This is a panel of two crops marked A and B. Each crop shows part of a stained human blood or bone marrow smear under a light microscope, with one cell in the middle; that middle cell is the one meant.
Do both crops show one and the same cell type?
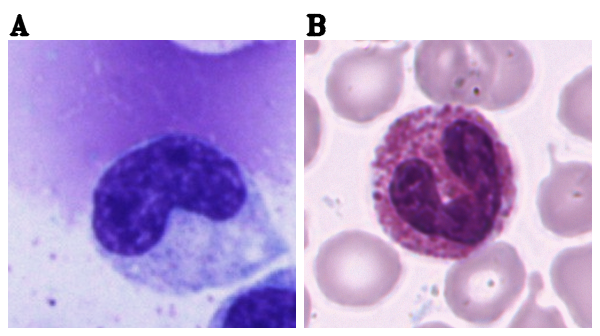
no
